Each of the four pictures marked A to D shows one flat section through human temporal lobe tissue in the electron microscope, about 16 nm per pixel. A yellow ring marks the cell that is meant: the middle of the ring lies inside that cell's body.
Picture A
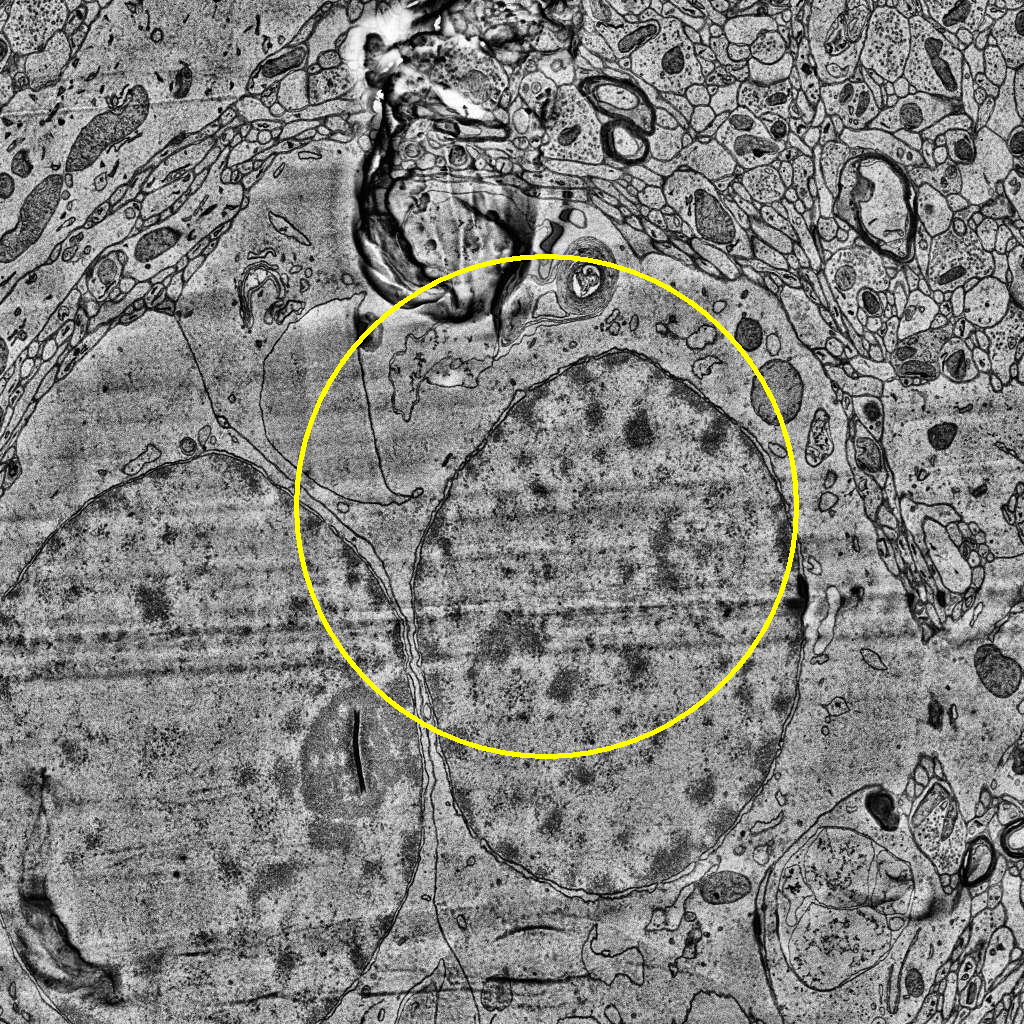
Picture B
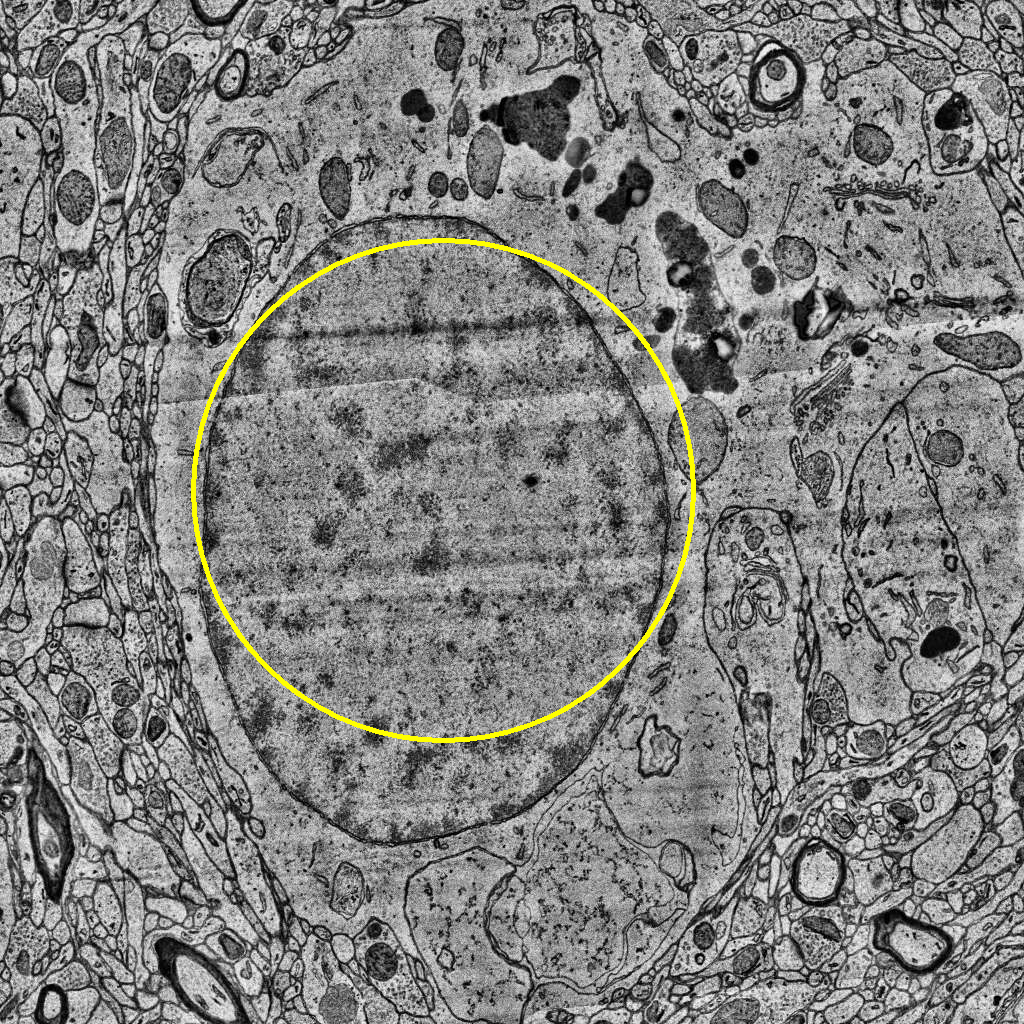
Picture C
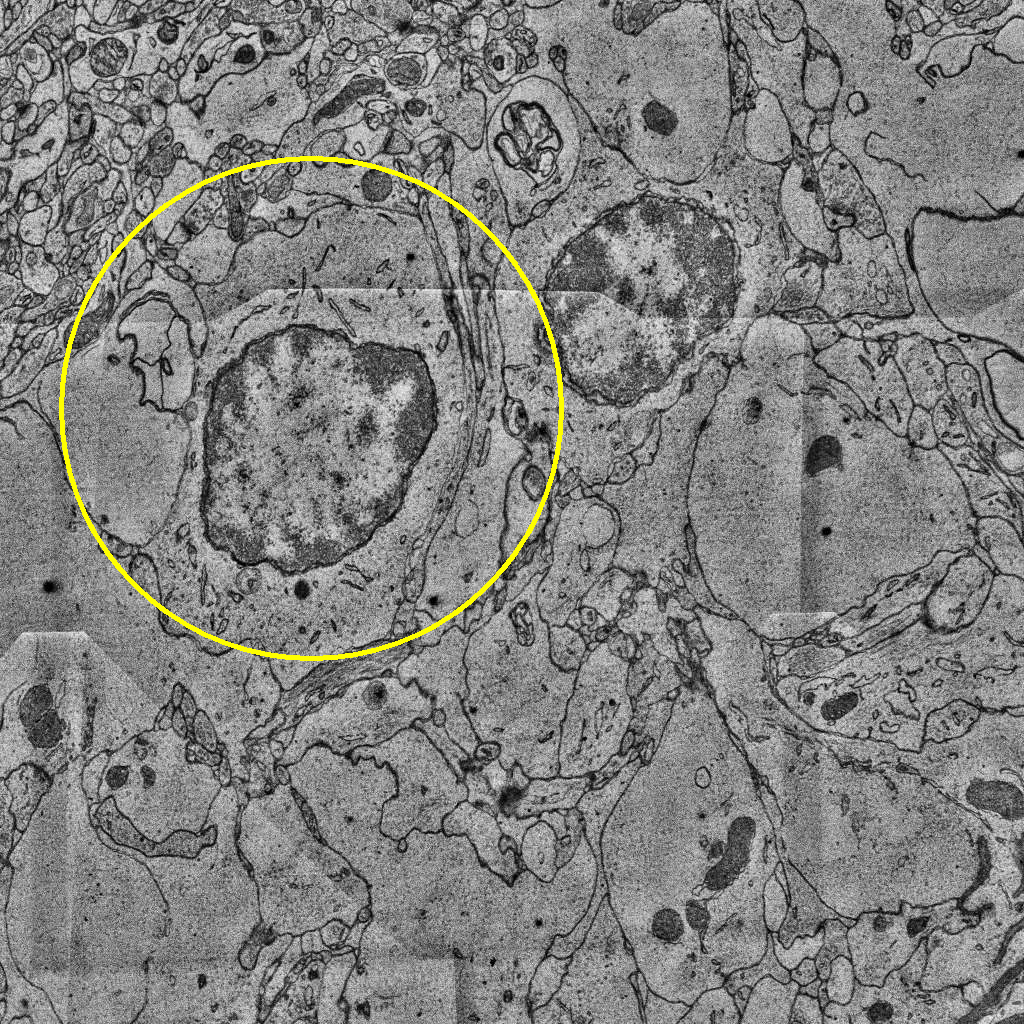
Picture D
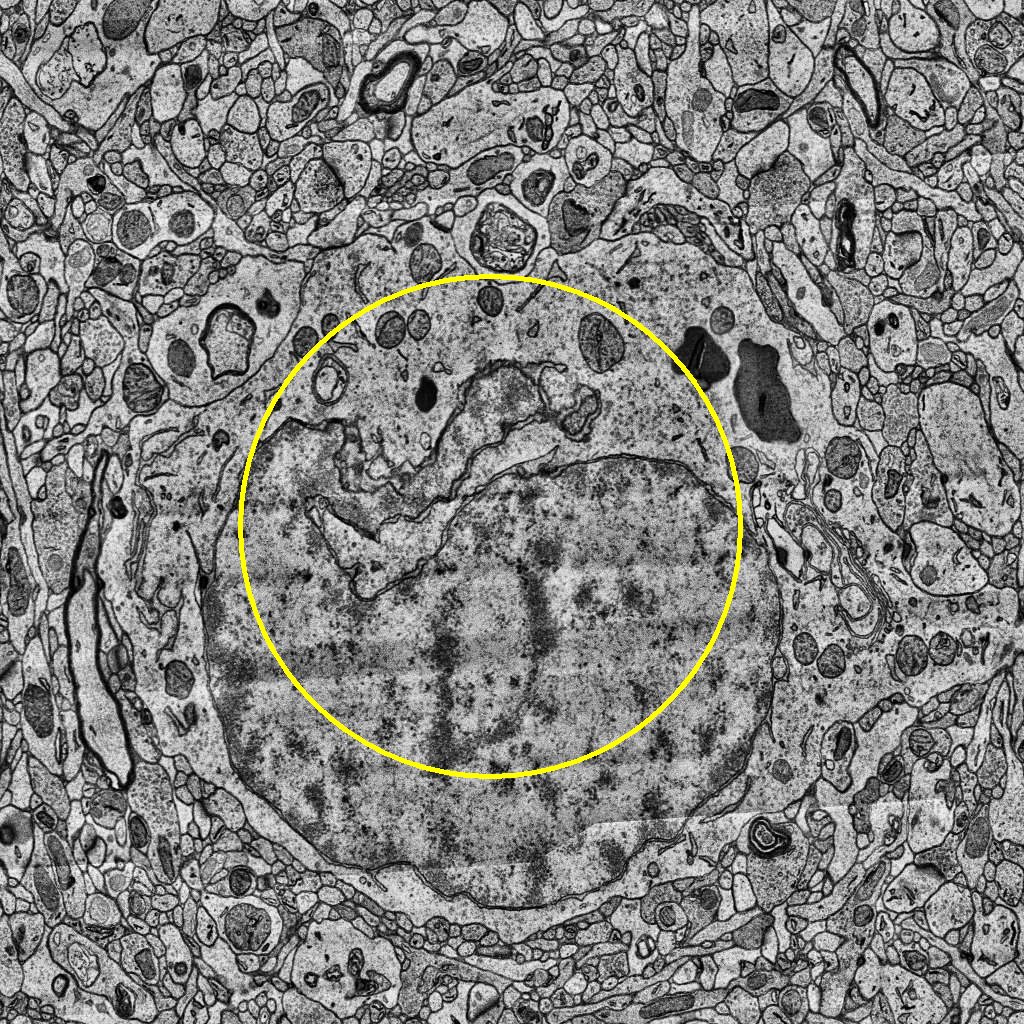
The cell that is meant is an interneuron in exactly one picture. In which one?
Picture D shows the interneuron.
